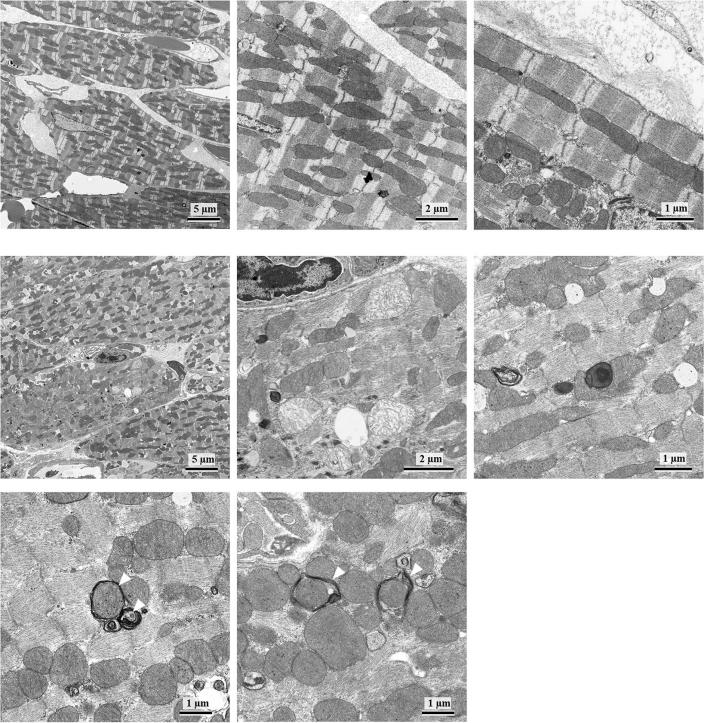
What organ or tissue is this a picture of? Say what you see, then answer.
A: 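Striated myofibrils with regular bands and Z-lines. Rows of mitochondria packed between the myofibrils. Capillaries lie between the fibers.
Answer: cardiac muscle fibers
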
